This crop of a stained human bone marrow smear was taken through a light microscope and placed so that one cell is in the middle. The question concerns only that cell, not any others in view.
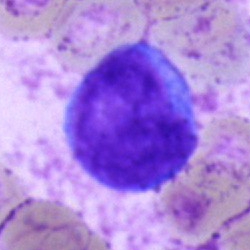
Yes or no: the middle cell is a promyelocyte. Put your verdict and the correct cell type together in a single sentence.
No, what occupies the middle of the crop is a blast and not a promyelocyte.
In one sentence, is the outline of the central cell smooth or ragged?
Smooth edges only, with no spikes, blebs, or other projections.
